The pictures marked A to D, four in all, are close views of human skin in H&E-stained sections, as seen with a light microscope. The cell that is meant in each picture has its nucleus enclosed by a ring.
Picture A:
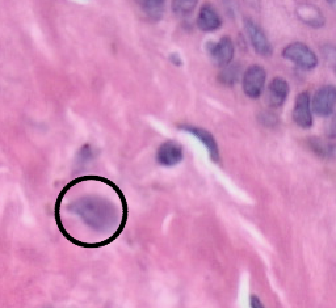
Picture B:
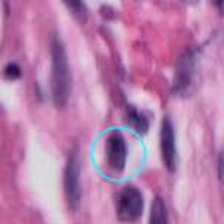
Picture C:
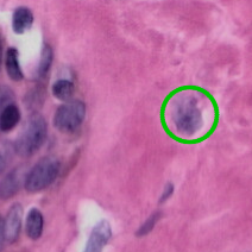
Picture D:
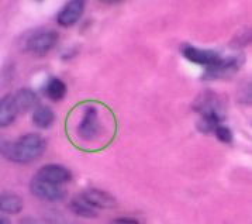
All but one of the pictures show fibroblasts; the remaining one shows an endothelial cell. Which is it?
B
